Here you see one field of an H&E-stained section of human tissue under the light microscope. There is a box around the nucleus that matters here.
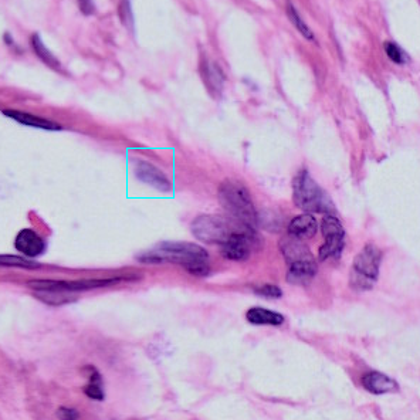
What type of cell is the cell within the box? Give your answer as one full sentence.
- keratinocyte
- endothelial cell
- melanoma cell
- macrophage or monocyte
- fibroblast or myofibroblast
As far as its identity is concerned, the cell within the box is an endothelial cell.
